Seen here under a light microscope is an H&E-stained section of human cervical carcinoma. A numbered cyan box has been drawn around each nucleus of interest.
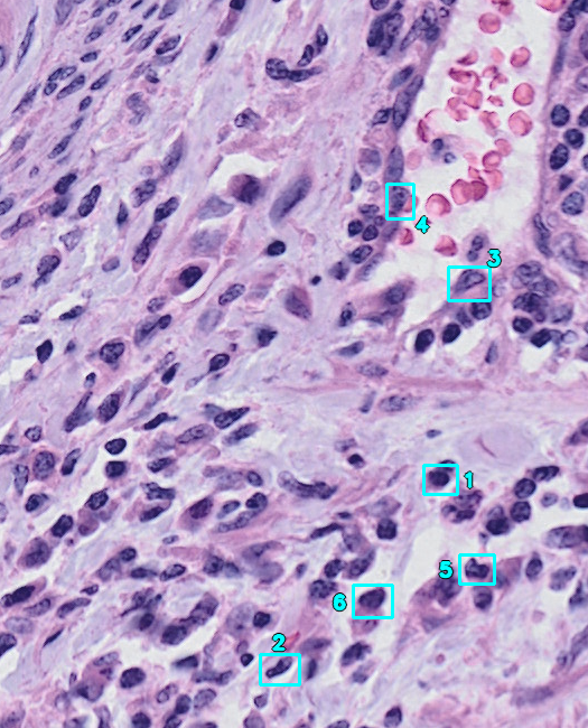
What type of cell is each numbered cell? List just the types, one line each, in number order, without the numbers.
lymphocyte
lymphocyte
endothelial cell
endothelial cell
lymphocyte
lymphocyte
